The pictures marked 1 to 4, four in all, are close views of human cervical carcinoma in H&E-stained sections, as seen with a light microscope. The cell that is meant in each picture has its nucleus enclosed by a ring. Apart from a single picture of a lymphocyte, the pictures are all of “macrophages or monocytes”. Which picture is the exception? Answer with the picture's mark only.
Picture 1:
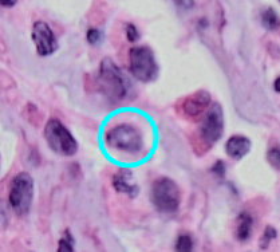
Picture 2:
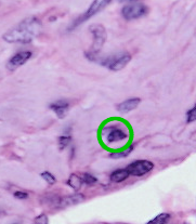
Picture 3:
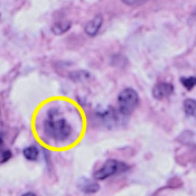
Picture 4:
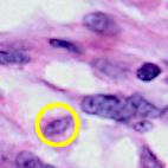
2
